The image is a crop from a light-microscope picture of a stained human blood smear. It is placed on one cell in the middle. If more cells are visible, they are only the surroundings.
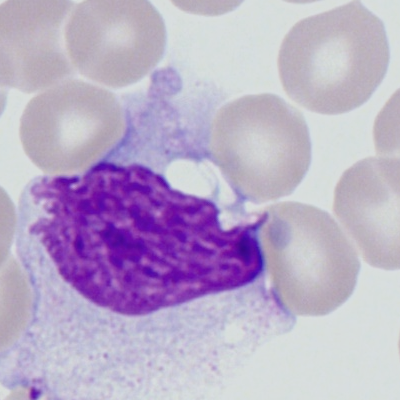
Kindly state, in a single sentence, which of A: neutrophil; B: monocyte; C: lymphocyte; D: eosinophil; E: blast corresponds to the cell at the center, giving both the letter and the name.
Option B is correct; the cell in the middle is a monocyte.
